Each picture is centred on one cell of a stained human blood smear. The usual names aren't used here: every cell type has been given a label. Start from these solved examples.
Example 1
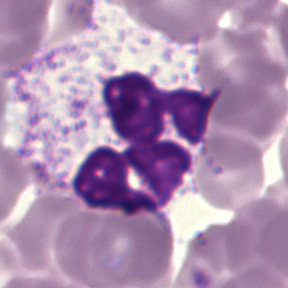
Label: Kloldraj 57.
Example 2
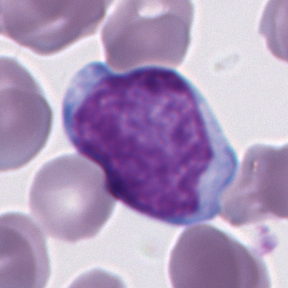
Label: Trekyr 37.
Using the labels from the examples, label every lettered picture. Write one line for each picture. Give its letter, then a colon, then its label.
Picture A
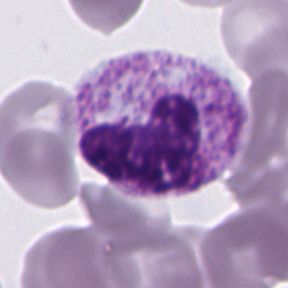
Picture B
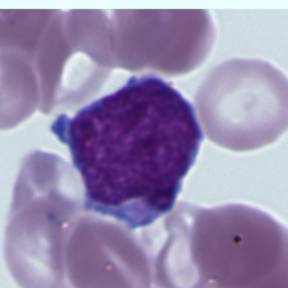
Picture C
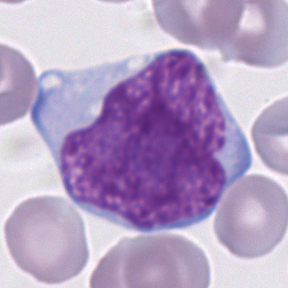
A: Kloldraj 57.
B: Trekyr 37.
C: Trekyr 37.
